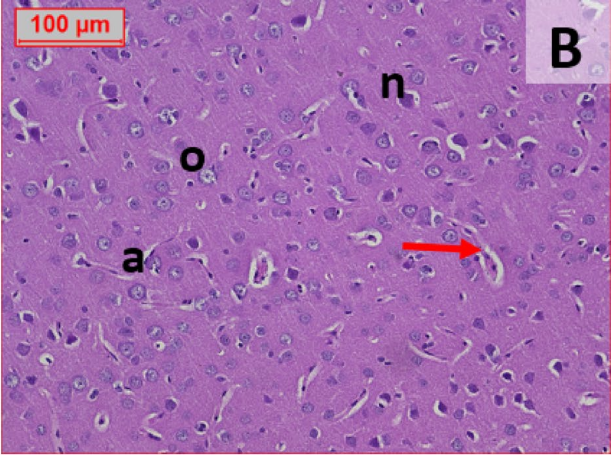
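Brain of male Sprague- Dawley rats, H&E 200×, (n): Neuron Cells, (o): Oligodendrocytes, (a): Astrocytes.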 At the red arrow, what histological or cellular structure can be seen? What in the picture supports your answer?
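Thin walls with flattened nuclei border the space.
Hence: blood vessels.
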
